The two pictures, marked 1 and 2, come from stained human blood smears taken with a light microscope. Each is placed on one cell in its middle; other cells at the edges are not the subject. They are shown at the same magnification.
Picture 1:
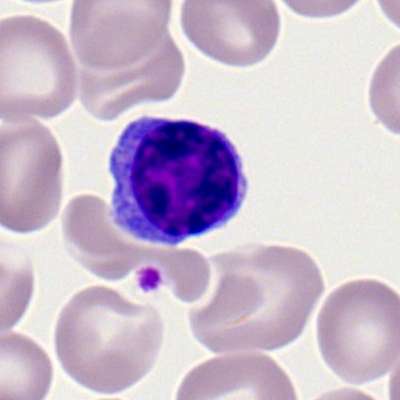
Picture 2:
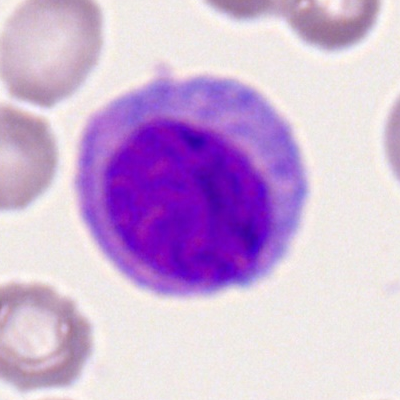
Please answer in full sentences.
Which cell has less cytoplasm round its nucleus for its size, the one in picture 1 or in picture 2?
Of the two, the nucleus in picture 1 makes up the greater part of its cell.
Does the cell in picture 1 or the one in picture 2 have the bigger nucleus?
Larger is the nucleus in picture 2, at roughly 2 times the area of the other.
